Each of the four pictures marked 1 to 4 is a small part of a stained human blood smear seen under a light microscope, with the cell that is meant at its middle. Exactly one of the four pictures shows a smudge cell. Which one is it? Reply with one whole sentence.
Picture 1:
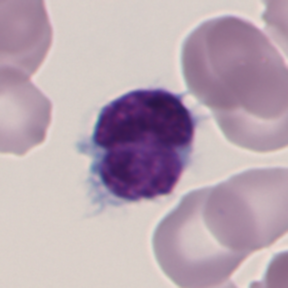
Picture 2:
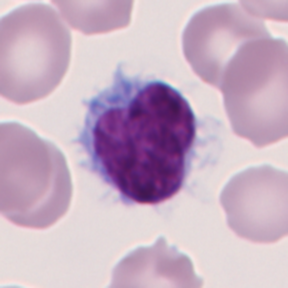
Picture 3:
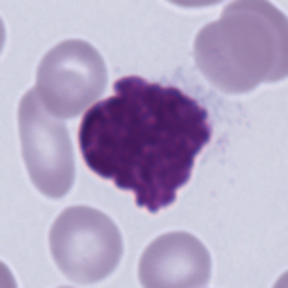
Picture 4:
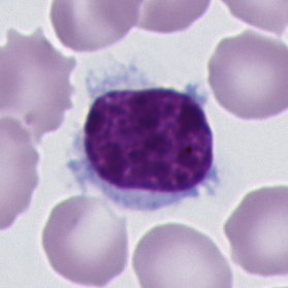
Picture 3 is the one that shows the smudge cell.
